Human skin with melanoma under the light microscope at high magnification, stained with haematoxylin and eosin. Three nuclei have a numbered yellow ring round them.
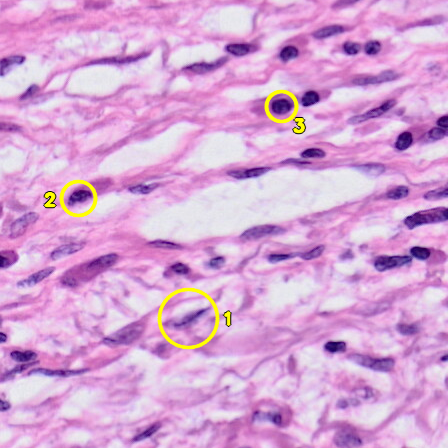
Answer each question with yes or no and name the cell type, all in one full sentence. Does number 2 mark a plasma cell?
Yes, for number 2, the cell is a plasma cell.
